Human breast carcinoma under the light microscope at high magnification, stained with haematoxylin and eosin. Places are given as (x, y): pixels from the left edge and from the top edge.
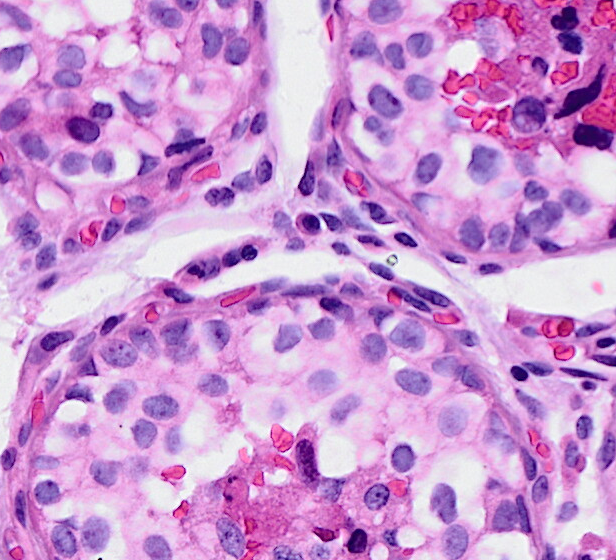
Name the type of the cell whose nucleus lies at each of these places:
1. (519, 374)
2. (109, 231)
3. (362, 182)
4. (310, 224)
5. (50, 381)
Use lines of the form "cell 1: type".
cell 1: lymphocyte
cell 2: endothelial cell
cell 3: endothelial cell
cell 4: lymphocyte
cell 5: endothelial cell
